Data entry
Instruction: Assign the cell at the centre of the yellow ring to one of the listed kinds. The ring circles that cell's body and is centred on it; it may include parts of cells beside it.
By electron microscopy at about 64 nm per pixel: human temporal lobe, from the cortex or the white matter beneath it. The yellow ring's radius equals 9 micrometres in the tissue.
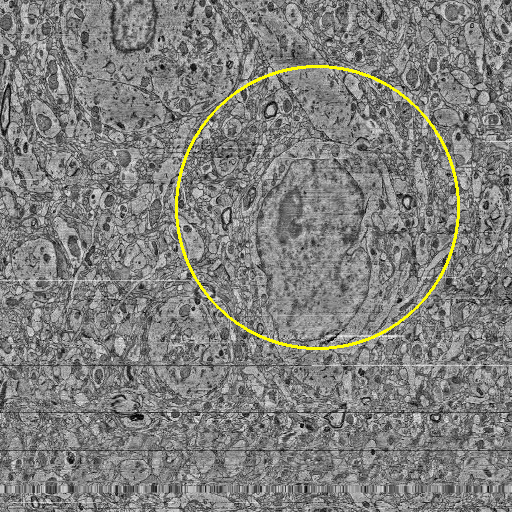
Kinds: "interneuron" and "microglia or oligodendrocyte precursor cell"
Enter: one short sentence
The centre of the ring falls on an interneuron.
